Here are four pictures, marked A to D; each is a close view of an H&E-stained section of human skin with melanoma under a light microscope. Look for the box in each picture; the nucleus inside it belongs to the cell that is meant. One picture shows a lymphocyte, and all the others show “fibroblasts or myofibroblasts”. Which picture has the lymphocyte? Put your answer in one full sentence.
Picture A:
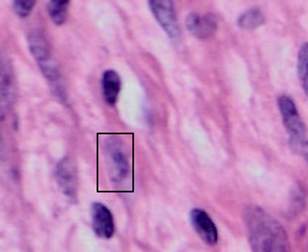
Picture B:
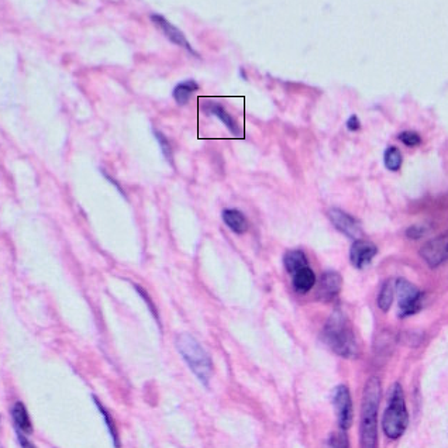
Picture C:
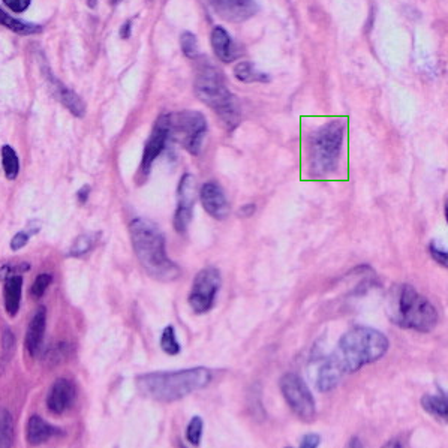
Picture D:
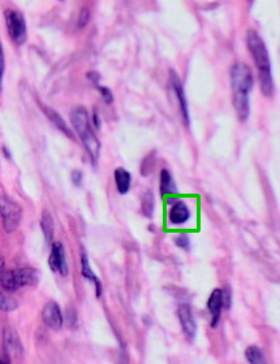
Picture D is the one that shows the lymphocyte.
